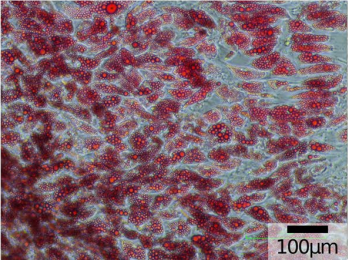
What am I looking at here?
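Densely packed cultured cells differentiated into adipocytes. Most cells across the field contain many small round red lipid vesicles. The droplet-laden cells form a near-continuous sheet. A few larger red droplets are scattered among the smaller ones.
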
